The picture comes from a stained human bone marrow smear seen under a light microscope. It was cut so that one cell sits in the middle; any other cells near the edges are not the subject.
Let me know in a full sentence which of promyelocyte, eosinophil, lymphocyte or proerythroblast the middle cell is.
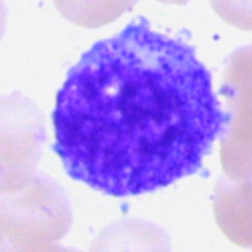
As for the central cell, it is a promyelocyte.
